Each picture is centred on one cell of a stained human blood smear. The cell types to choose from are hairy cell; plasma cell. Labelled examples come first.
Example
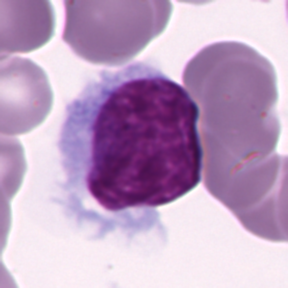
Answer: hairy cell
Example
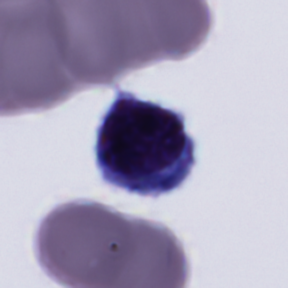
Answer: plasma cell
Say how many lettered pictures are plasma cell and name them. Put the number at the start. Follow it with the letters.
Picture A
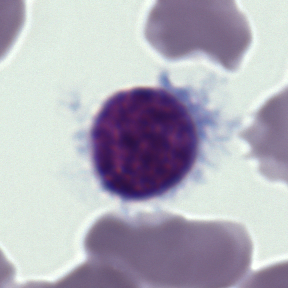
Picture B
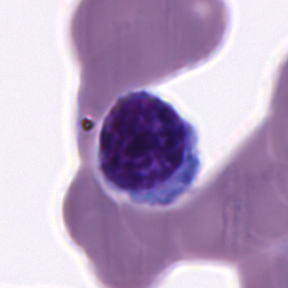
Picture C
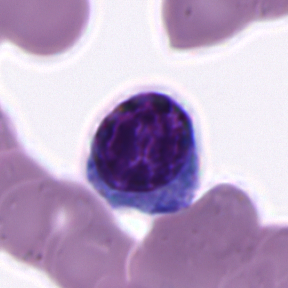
2: B, C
